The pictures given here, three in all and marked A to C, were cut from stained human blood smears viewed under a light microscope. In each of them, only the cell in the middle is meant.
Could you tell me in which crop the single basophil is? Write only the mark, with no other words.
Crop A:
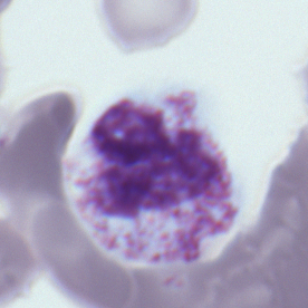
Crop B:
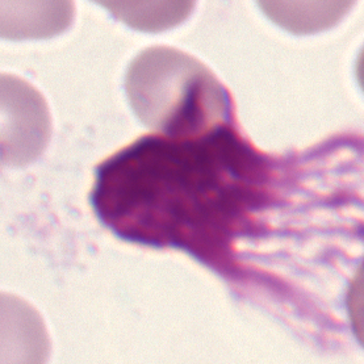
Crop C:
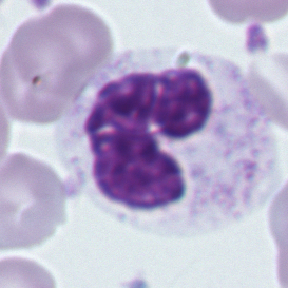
A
